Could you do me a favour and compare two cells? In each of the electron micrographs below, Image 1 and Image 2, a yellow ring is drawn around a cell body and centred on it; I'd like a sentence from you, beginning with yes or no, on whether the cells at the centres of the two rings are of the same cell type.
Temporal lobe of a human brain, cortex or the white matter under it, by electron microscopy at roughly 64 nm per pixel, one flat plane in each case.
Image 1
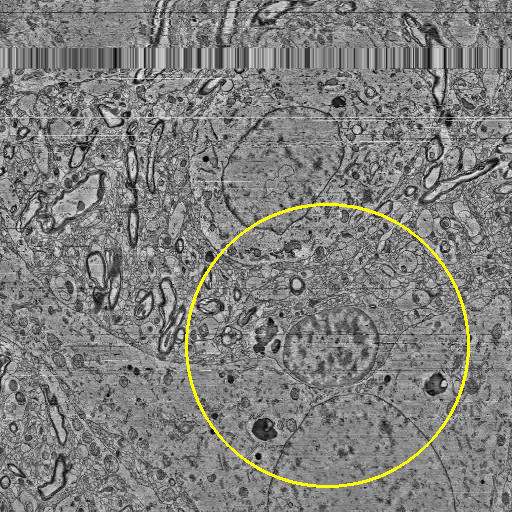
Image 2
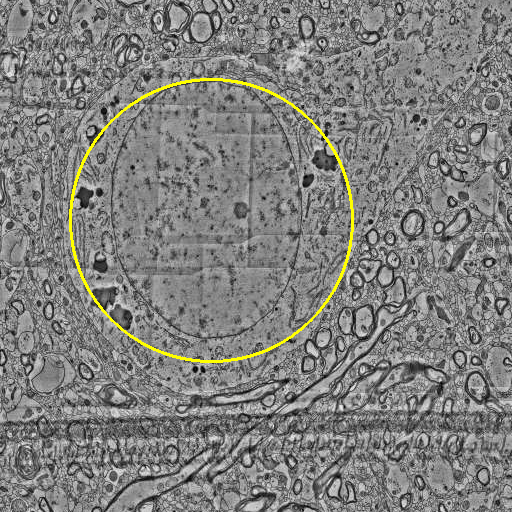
No, the two cells are of two cell types.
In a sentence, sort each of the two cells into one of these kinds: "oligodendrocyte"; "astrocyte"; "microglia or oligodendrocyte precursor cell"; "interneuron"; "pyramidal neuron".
The first of the two cells is an oligodendrocyte, and the second is a pyramidal neuron.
